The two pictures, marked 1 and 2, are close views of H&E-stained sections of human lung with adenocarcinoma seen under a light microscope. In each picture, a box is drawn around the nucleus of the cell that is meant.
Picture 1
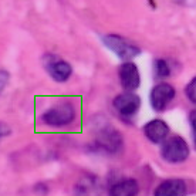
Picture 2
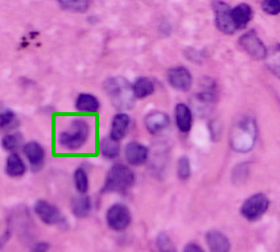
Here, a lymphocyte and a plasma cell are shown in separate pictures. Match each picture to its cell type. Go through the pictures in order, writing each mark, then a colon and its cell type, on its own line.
1: plasma cell
2: lymphocyte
